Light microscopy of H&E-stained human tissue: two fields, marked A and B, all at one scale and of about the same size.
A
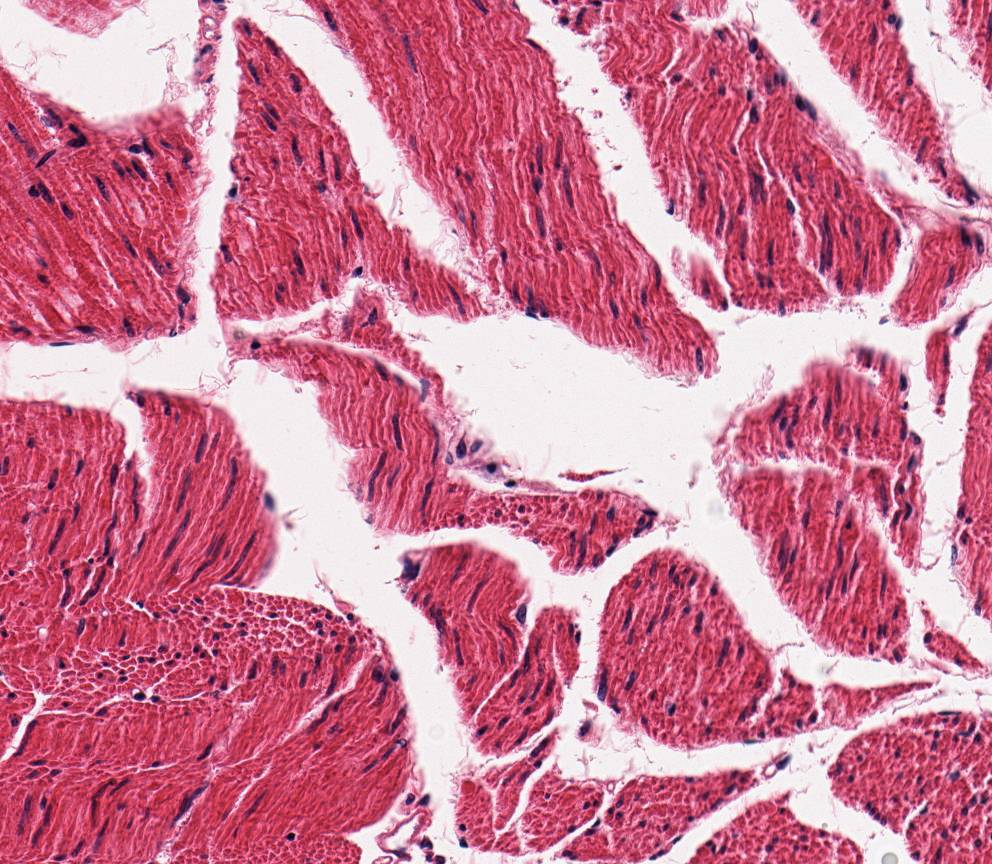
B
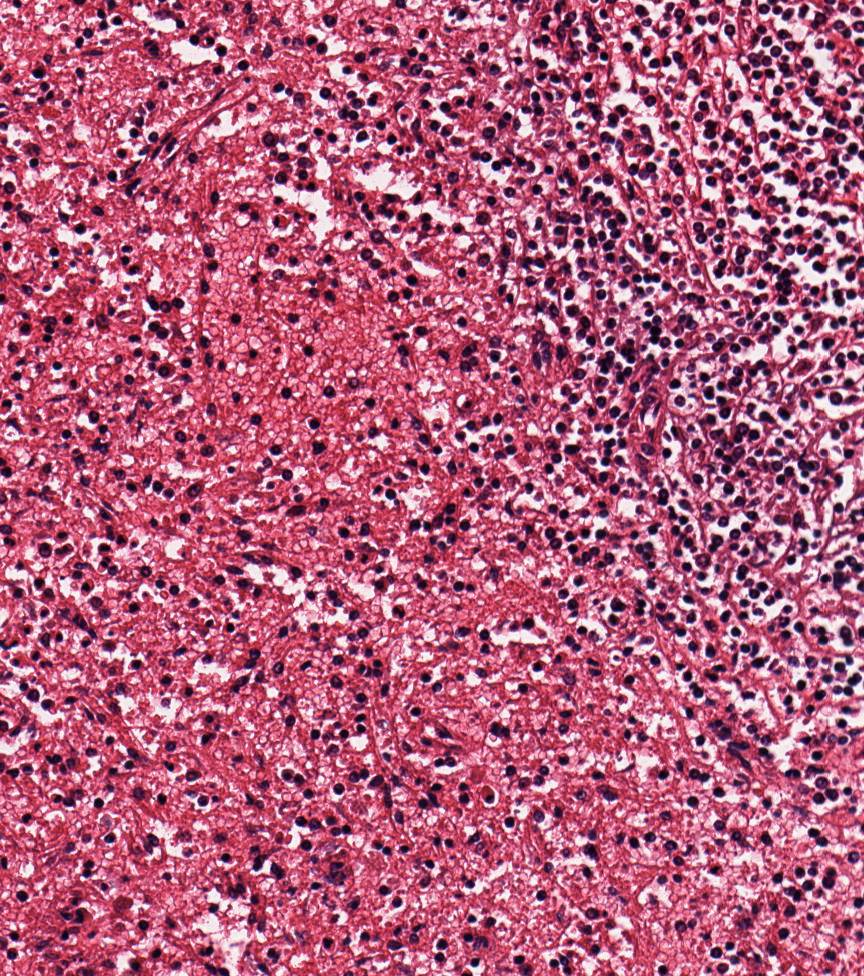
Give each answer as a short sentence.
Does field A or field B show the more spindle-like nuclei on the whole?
On the whole the nuclei of field A are more drawn out than those of field B.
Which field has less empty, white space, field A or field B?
It is field B that stained tissue fills more completely.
